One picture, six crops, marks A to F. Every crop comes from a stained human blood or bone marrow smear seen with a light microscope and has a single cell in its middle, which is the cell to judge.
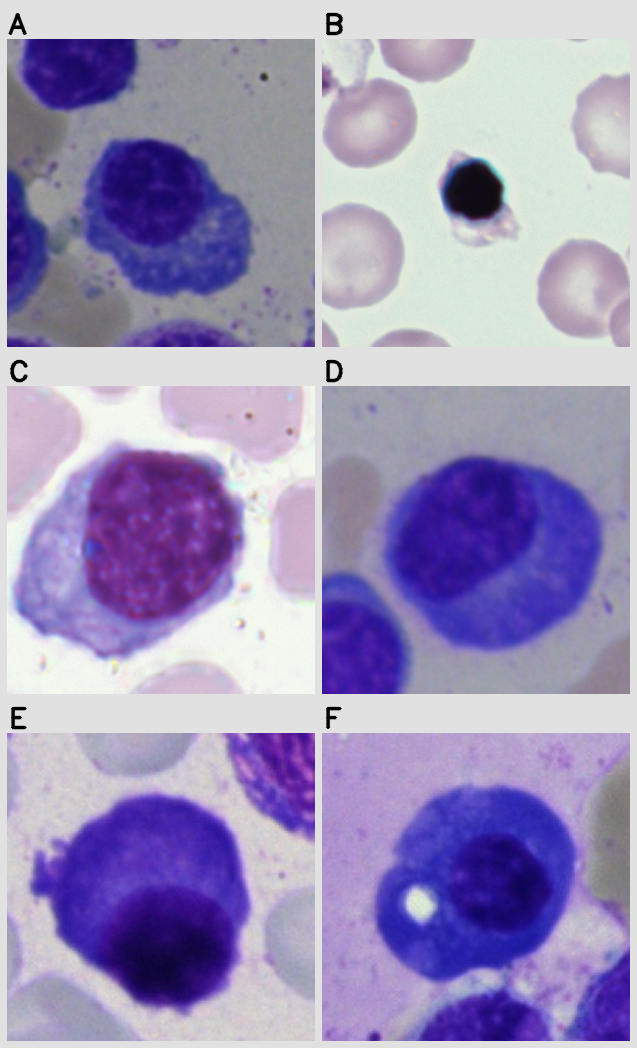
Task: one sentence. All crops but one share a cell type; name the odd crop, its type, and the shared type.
Differing from the rest, crop B shows a normoblast; the others all show plasma cells.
